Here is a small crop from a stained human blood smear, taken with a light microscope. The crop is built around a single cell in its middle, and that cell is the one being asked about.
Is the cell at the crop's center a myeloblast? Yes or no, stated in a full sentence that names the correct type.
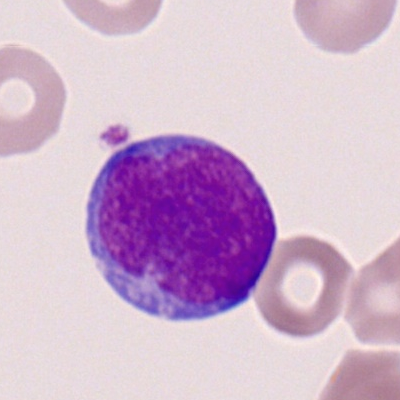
Yes, the cell in the middle of the view is a myeloblast.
